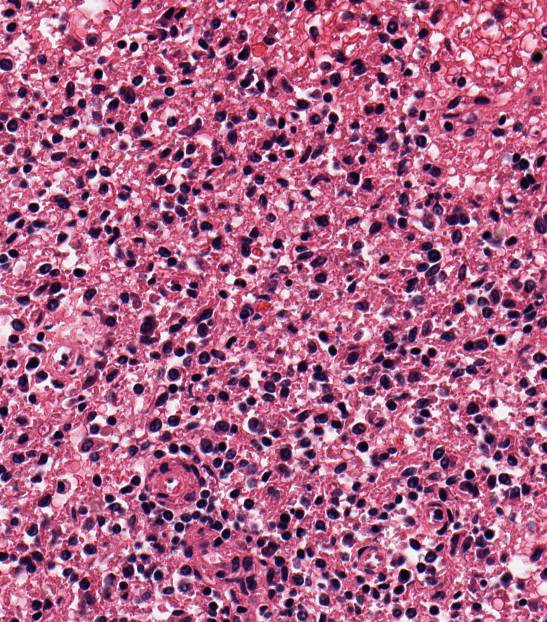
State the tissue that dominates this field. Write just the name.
red pulp of the spleen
